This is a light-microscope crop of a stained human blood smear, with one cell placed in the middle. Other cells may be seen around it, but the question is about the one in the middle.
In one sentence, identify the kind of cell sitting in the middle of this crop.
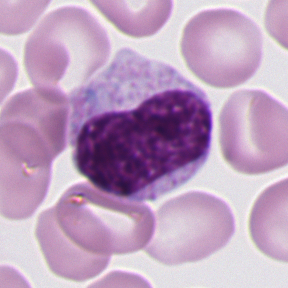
By type, the central cell of the crop is a band neutrophil.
